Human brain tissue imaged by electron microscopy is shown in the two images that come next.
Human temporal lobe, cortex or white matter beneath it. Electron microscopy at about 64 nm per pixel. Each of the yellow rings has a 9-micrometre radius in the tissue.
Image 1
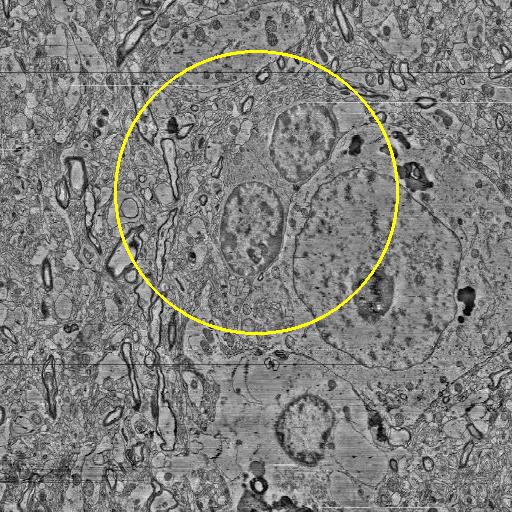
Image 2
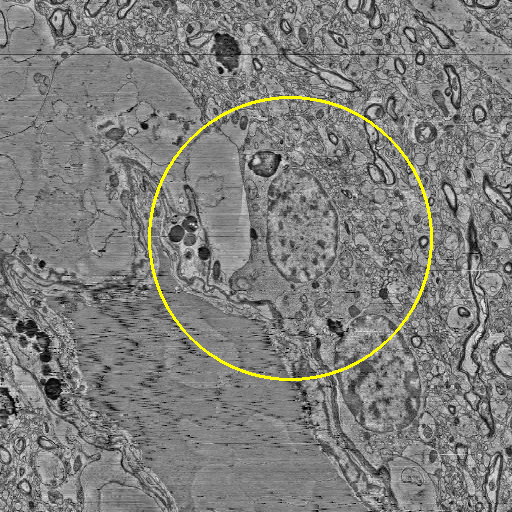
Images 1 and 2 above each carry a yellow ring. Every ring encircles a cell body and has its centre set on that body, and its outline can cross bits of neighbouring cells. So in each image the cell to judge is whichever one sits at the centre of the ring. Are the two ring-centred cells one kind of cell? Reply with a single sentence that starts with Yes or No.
Yes, in Image 1 and Image 2 the cells at the centres of their rings fall into one type.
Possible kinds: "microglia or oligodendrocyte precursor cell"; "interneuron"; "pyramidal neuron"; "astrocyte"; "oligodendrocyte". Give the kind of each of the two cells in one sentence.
Each one of the two ringed cells is an oligodendrocyte.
